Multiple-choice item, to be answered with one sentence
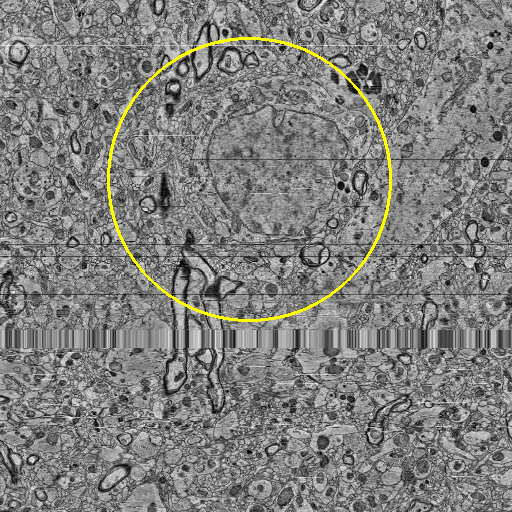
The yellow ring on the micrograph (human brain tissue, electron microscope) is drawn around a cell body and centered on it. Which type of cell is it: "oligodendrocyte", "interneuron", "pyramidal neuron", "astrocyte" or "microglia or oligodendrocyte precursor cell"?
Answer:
The ring is centered on an interneuron.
